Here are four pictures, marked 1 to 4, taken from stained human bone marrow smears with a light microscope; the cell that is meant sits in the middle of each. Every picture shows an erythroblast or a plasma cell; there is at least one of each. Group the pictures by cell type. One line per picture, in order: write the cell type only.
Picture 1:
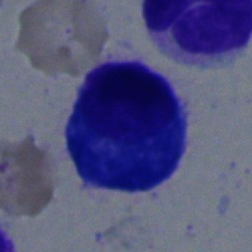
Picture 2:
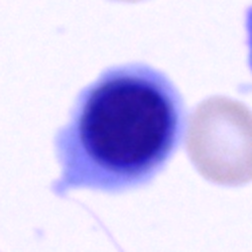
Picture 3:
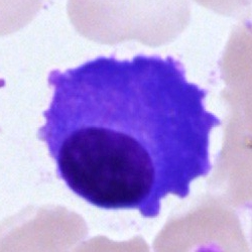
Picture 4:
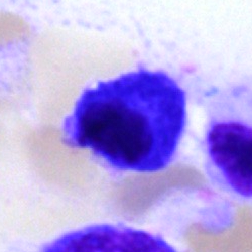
plasma cell
erythroblast
plasma cell
plasma cell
